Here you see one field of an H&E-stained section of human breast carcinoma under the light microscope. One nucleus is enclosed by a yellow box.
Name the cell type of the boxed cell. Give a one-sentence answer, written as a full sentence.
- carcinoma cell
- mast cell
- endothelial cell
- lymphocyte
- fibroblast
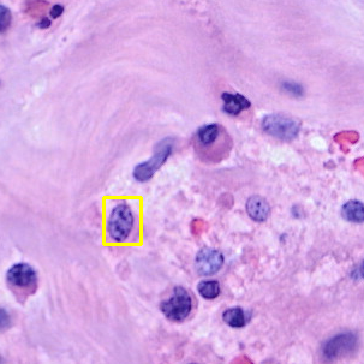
The cell type represented by the boxed cell is that of a mast cell.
